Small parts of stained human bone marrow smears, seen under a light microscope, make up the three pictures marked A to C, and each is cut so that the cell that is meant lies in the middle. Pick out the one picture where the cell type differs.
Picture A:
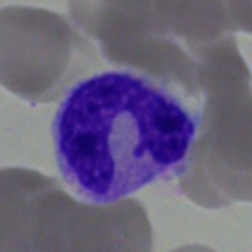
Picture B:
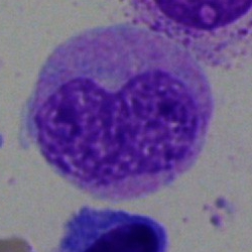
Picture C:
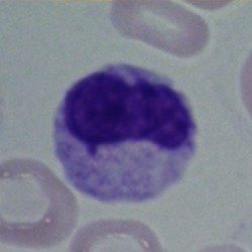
B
